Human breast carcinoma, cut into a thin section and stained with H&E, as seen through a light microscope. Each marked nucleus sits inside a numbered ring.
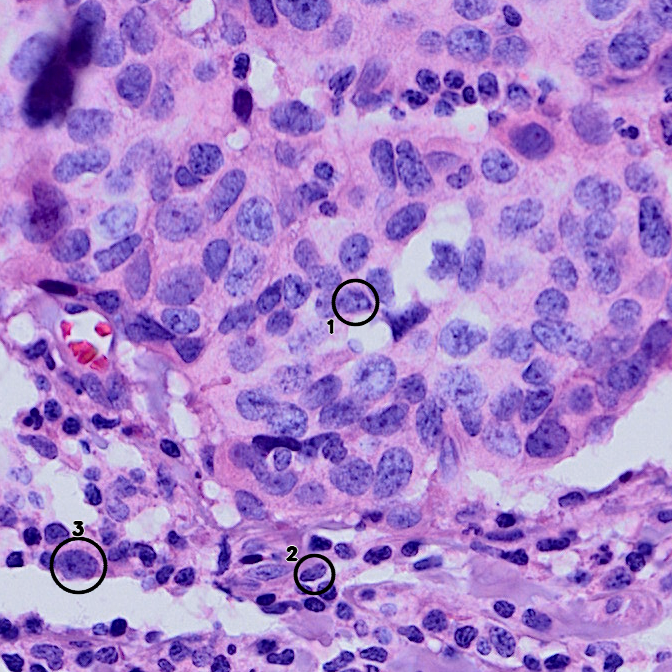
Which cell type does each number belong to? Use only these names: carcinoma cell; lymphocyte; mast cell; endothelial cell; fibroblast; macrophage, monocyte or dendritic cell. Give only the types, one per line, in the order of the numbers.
carcinoma cell
lymphocyte
carcinoma cell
